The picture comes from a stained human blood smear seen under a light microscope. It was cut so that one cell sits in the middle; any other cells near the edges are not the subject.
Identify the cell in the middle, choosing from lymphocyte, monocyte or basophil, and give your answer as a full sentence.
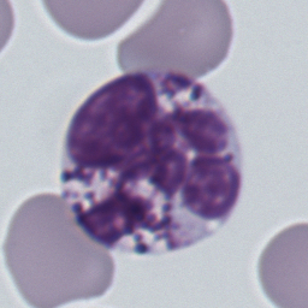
Here the cell in the middle is a basophil.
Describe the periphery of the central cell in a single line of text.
Expected answer: a smooth cell outline without projections of any sort.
